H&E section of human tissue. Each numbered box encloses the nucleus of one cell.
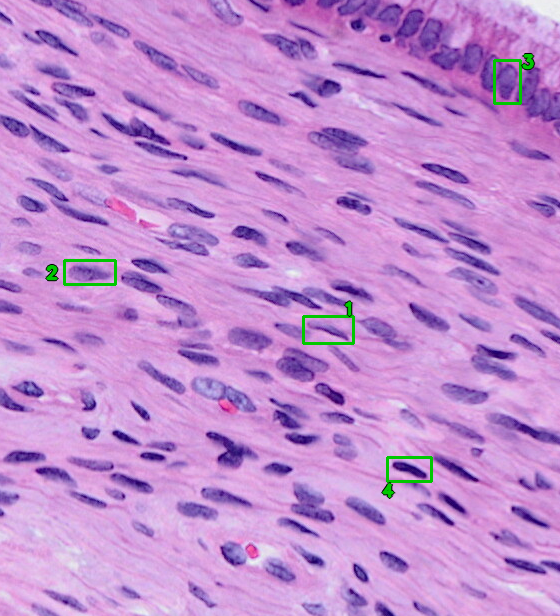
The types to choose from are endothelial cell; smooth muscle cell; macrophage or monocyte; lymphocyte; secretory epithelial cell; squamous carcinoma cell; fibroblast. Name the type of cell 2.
fibroblast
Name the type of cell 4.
fibroblast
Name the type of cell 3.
secretory epithelial cell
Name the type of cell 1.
fibroblast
